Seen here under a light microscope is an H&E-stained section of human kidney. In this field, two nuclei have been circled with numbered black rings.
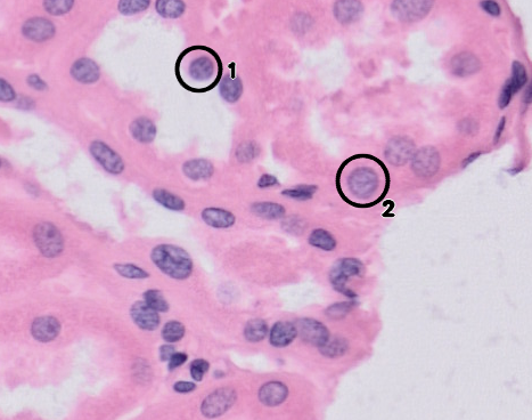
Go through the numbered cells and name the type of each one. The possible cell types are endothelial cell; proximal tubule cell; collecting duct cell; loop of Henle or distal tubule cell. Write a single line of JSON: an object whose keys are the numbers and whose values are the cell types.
{"1": "loop of Henle or distal tubule cell", "2": "proximal tubule cell"}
